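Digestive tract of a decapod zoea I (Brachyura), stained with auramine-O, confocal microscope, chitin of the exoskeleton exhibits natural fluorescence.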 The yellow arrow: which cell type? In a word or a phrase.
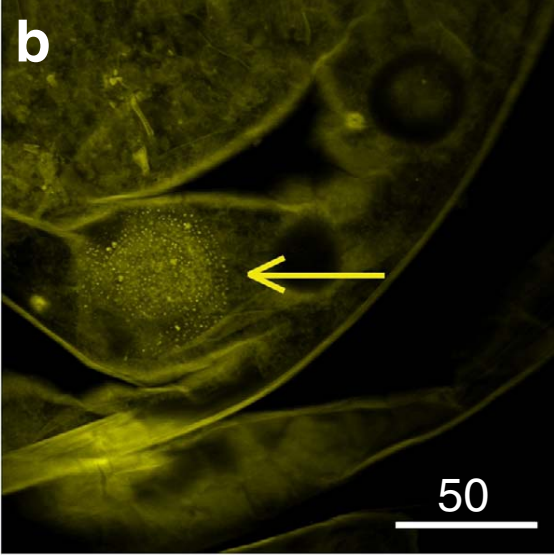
Pollen grain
